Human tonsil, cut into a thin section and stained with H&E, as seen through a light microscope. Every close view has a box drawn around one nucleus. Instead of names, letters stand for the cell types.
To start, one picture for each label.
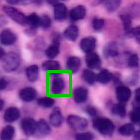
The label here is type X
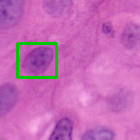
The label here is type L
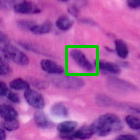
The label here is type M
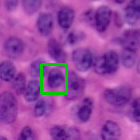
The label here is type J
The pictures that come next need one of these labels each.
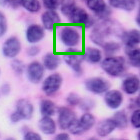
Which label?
type X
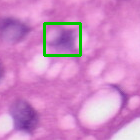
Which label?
type L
